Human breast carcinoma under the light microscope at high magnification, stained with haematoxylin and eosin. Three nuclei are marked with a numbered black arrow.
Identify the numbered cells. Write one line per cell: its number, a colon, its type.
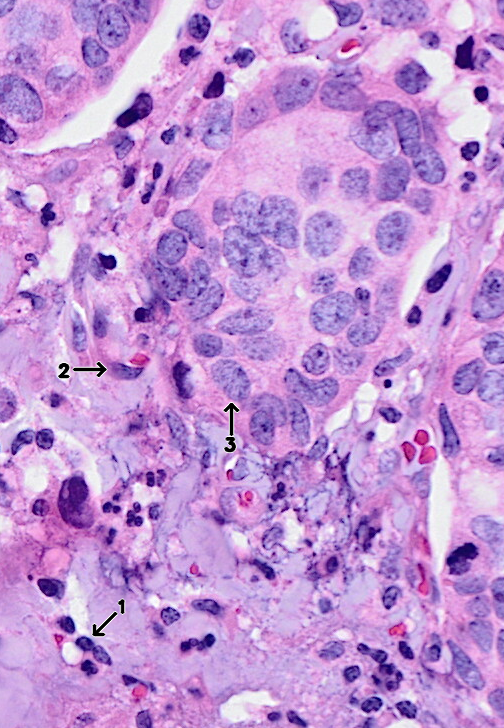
1: lymphocyte
2: endothelial cell
3: carcinoma cell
